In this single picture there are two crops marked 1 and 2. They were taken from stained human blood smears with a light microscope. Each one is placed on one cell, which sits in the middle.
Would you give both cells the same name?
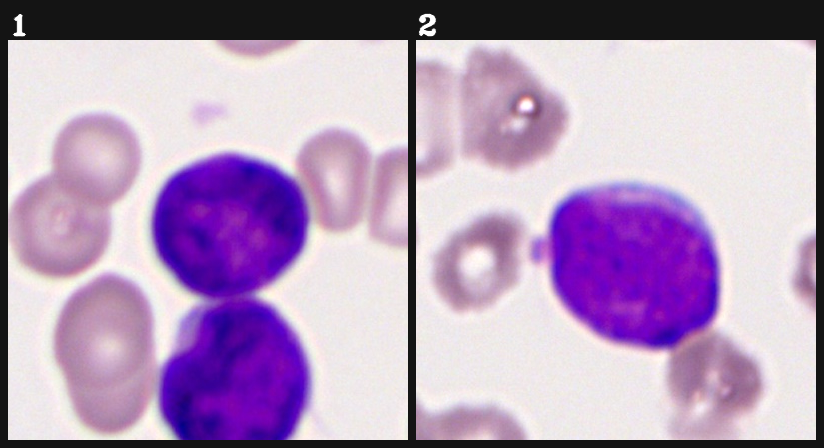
yes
